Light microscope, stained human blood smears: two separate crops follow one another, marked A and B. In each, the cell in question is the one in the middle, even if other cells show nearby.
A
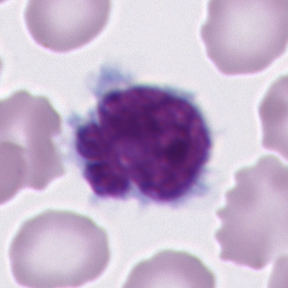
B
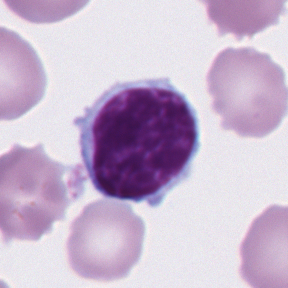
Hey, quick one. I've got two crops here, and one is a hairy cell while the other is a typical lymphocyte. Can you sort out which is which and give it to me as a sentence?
The designated cell in crop A is a hairy cell, and the designated cell in crop B is a typical lymphocyte.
